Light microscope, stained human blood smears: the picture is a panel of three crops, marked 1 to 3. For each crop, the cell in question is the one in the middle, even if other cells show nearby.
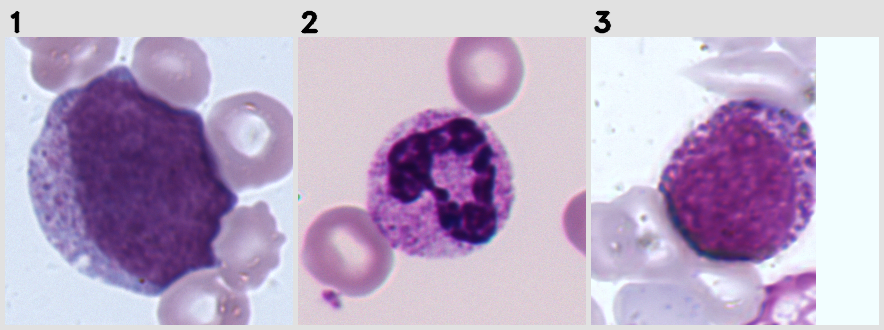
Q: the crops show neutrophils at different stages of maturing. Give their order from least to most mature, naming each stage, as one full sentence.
The proper maturity order, starting from the least mature, is crop 1 (a promyelocyte), crop 3 (a myelocyte) and crop 2 (a segmented neutrophil).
